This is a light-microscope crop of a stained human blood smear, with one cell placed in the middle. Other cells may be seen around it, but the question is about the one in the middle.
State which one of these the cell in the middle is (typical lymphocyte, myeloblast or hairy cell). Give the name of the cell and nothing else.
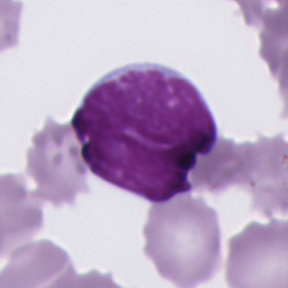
myeloblast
